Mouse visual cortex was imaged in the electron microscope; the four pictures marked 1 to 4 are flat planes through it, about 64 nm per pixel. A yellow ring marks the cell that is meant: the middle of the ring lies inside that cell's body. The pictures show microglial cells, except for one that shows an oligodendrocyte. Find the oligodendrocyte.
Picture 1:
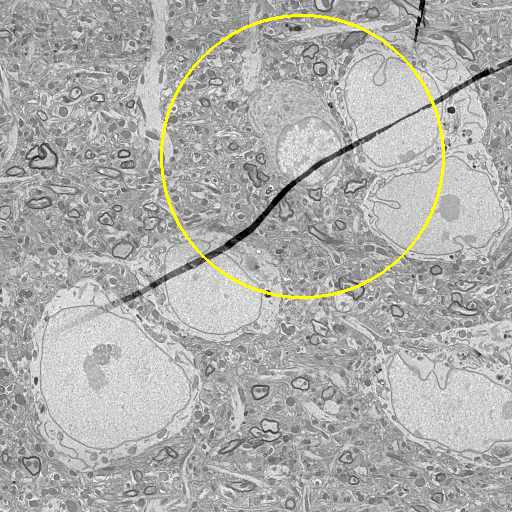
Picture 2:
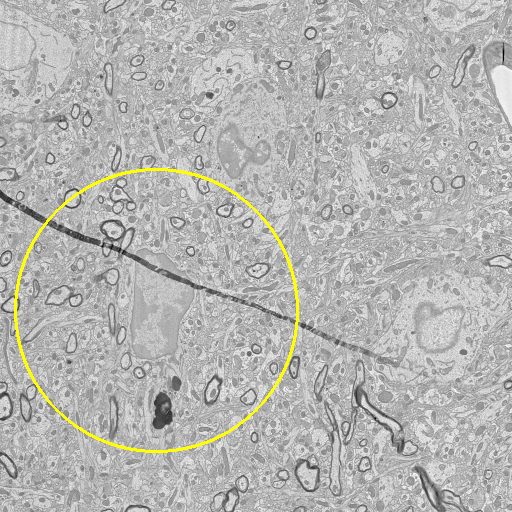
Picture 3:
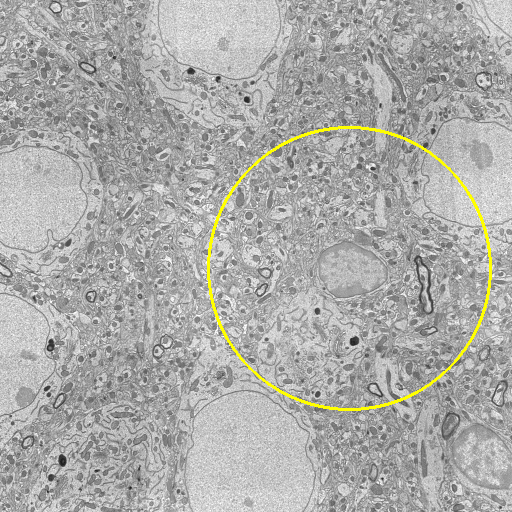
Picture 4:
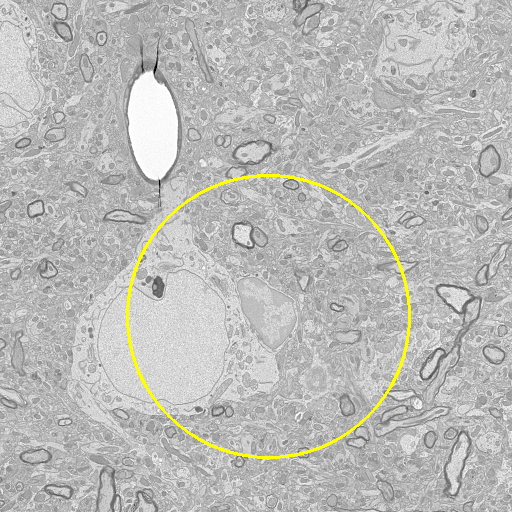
The oligodendrocyte is the one in picture 1.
